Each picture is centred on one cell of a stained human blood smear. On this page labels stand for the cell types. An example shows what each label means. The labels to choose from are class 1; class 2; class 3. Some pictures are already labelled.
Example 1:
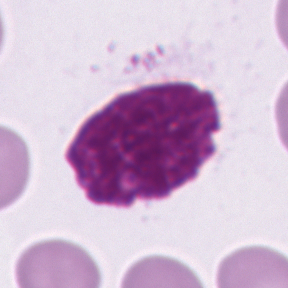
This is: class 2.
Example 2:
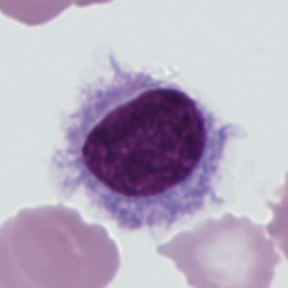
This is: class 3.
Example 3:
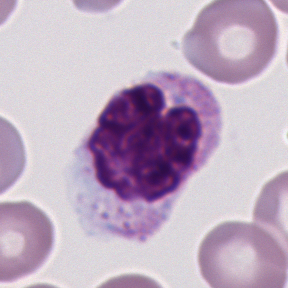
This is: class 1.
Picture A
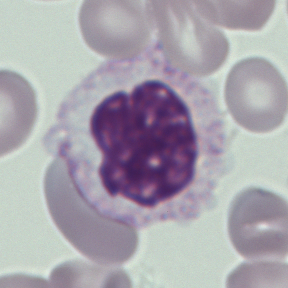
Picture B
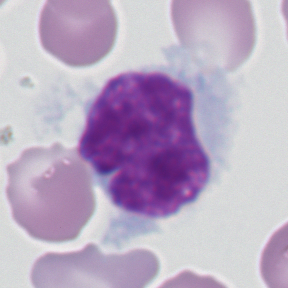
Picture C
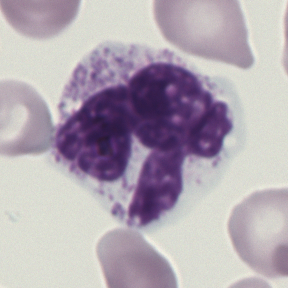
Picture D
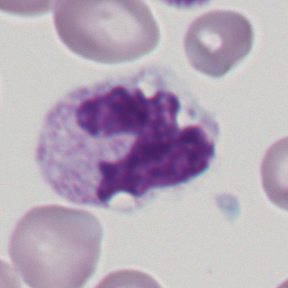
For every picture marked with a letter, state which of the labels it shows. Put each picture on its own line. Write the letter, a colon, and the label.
A: class 1.
B: class 3.
C: class 1.
D: class 1.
